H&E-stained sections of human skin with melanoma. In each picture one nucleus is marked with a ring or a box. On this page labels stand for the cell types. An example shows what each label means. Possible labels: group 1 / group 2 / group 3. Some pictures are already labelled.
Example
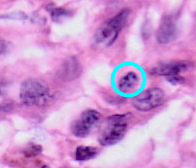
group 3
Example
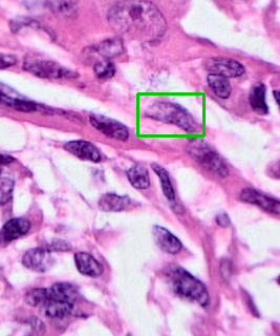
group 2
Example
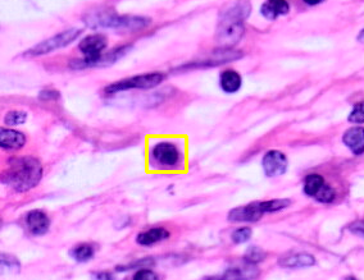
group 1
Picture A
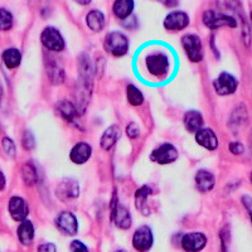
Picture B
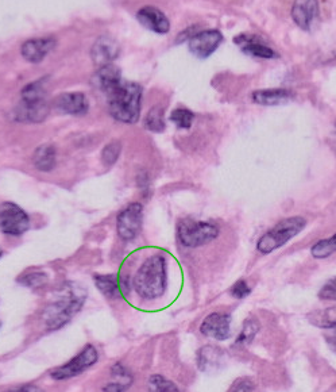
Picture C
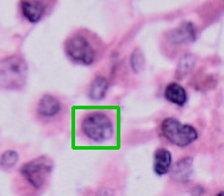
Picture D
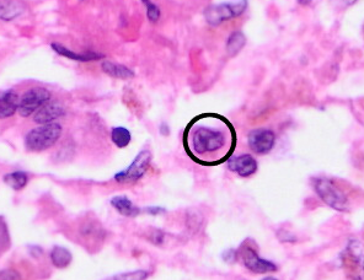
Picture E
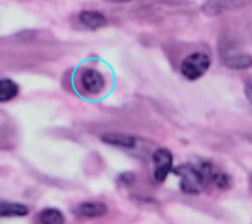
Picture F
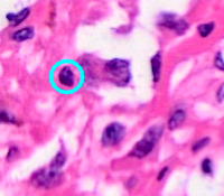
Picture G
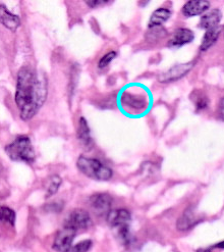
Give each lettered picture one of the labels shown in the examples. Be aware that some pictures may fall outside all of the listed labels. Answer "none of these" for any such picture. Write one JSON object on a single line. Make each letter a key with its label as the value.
{"A": "group 3", "B": "group 2", "C": "none of these", "D": "none of these", "E": "group 1", "F": "group 3", "G": "group 2"}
